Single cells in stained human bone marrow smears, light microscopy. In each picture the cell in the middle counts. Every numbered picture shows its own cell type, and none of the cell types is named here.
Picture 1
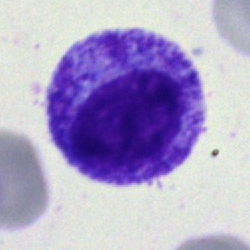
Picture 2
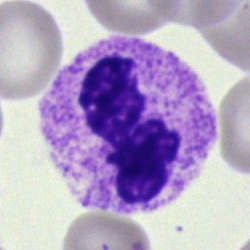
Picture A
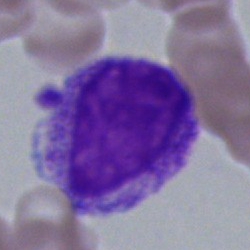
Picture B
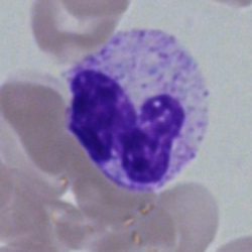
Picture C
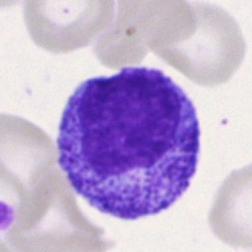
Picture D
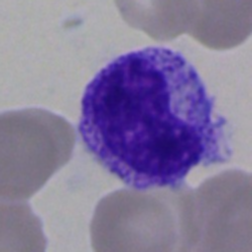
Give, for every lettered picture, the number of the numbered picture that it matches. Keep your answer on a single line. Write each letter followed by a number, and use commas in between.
A 1, B 2, C 1, D 1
